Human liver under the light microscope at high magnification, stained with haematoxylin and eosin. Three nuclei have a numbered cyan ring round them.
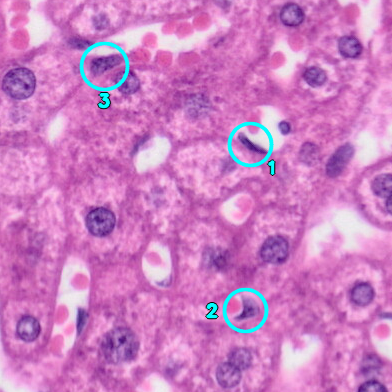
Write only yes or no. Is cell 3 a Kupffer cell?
yes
